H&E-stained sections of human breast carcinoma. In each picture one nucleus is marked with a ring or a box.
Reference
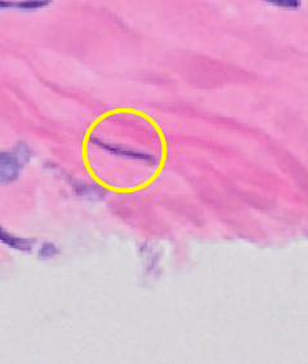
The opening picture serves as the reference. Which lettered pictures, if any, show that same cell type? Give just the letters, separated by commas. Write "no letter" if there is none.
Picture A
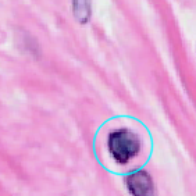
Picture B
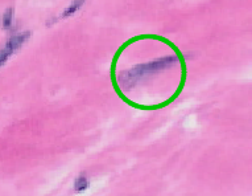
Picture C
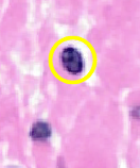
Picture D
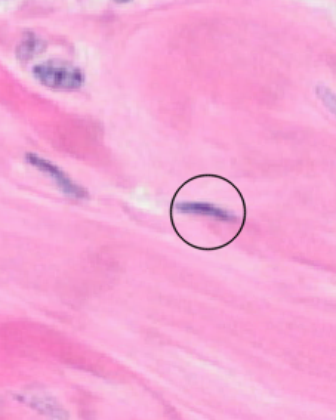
B, D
